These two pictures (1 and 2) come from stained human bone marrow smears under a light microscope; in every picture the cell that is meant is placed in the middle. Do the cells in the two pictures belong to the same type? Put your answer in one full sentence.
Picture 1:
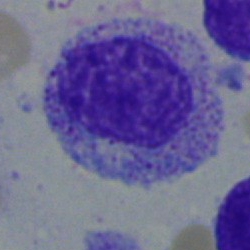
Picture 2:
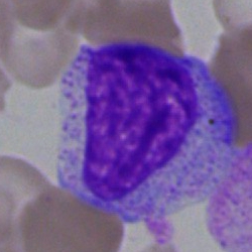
Yes, both cells are myelocytes.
